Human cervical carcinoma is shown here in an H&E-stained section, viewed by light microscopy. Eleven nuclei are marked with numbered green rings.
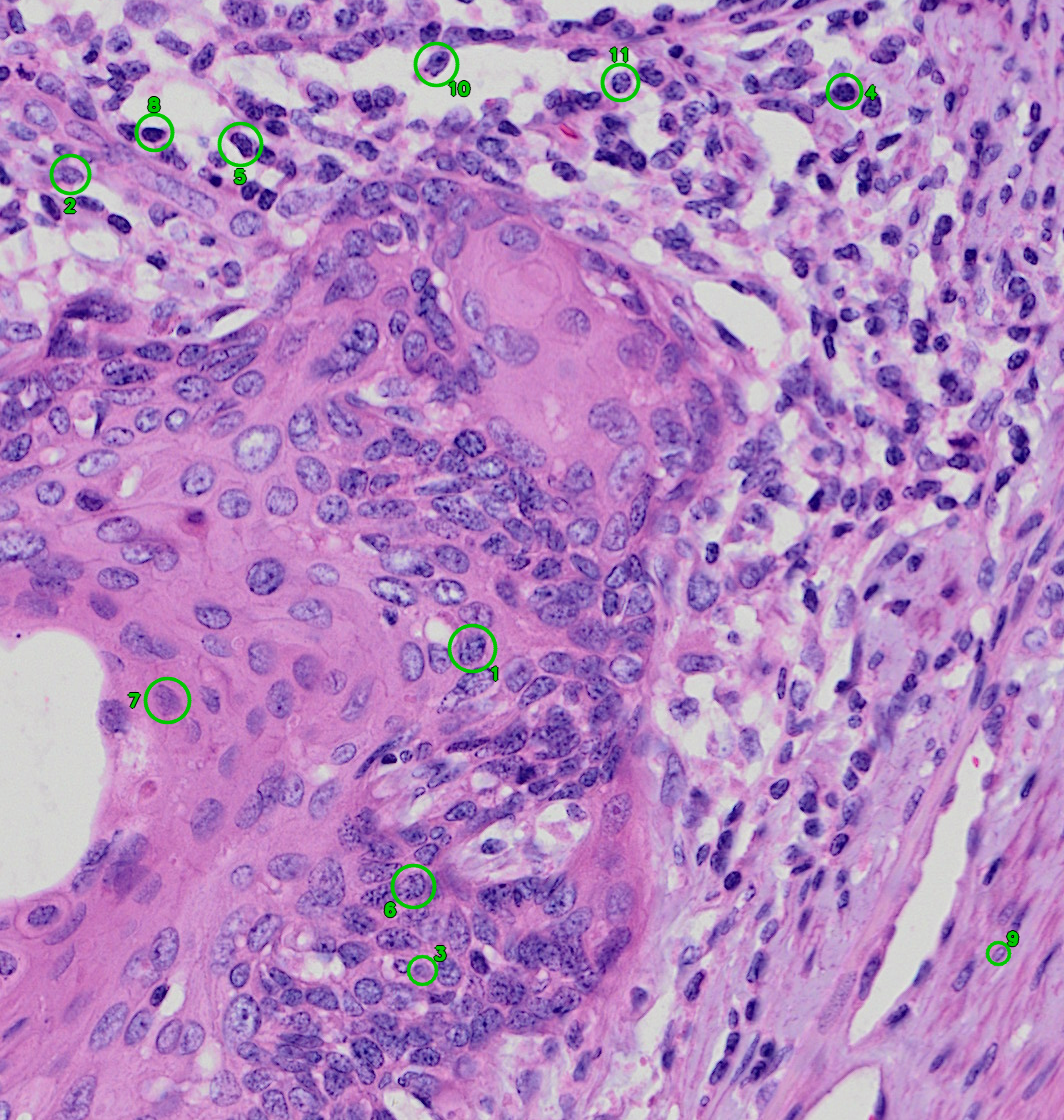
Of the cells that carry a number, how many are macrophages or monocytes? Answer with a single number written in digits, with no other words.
1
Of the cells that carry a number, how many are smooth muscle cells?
1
